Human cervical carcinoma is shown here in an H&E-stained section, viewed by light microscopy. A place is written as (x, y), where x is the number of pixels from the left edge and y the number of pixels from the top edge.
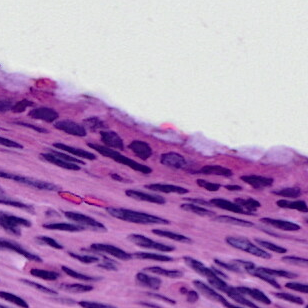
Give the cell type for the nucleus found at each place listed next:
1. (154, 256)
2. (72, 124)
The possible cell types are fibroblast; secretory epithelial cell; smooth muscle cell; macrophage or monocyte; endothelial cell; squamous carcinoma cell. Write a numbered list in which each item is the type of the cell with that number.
1. fibroblast
2. secretory epithelial cell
